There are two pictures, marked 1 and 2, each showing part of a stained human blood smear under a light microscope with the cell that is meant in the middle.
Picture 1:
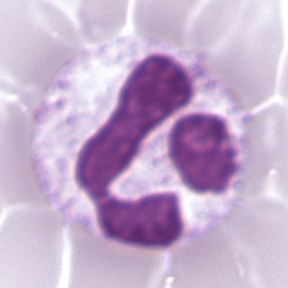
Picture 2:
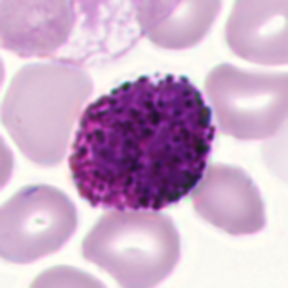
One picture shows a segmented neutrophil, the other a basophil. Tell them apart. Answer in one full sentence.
In picture 1 the cell is a segmented neutrophil; in picture 2, a basophil.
